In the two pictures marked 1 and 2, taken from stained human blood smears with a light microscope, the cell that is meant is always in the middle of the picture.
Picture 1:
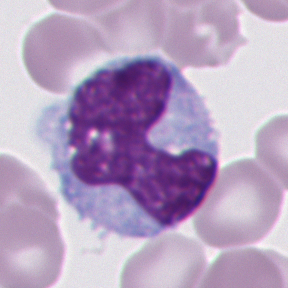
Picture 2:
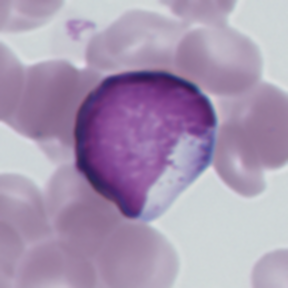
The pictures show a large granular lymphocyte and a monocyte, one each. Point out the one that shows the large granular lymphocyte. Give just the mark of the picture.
2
